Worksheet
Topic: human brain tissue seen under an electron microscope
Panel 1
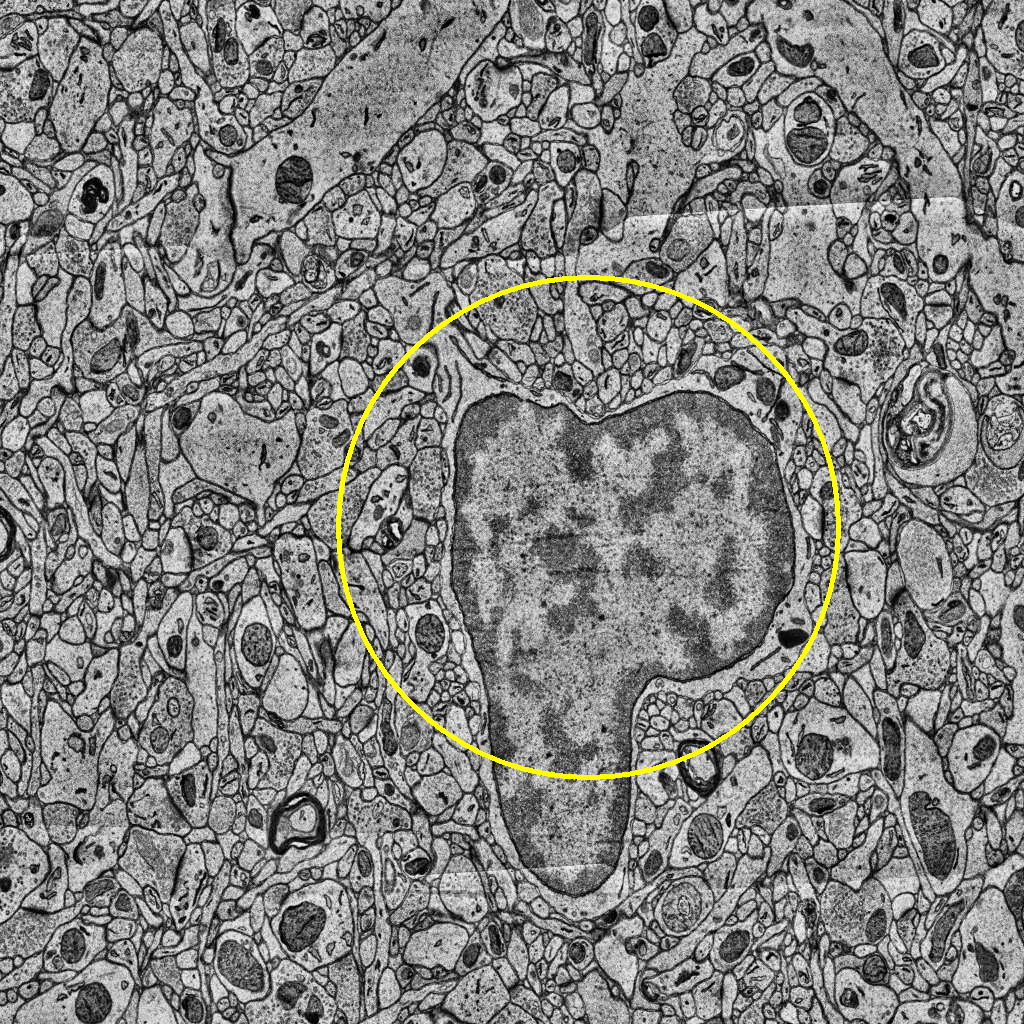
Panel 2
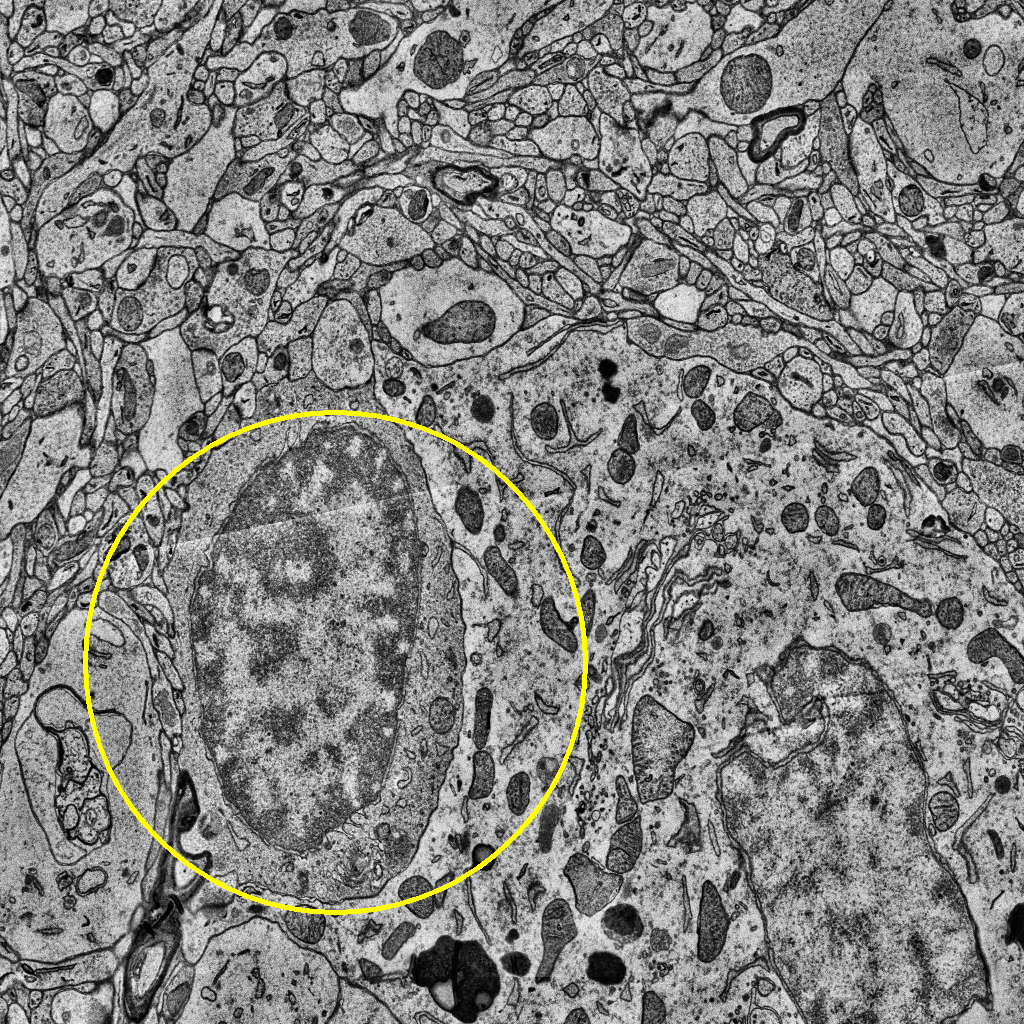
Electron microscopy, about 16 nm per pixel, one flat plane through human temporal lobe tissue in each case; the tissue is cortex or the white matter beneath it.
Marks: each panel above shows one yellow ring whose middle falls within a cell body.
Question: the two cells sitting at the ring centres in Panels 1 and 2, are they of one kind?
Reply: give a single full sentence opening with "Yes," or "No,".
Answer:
No, the two cells at the ring centres in Panel 1 and Panel 2 are of two kinds.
